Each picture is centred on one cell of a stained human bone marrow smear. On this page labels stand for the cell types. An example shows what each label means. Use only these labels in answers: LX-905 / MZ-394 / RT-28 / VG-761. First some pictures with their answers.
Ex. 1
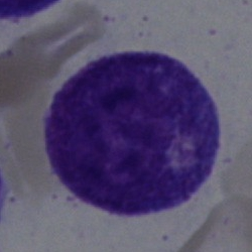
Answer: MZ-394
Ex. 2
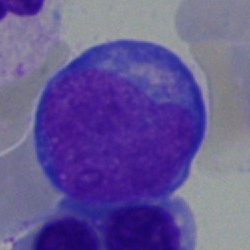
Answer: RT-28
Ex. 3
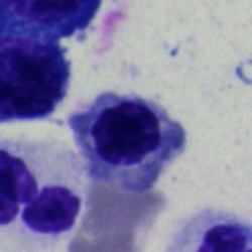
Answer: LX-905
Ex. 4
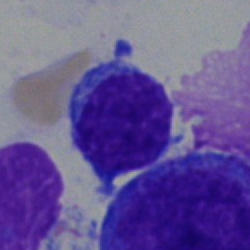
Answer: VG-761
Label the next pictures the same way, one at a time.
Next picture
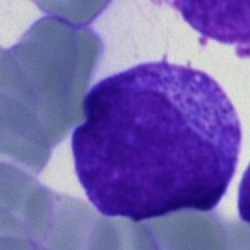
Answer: RT-28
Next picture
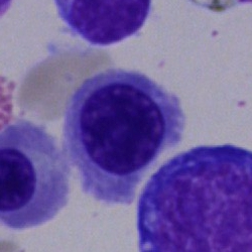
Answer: LX-905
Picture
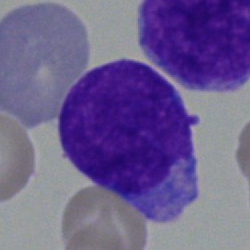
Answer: RT-28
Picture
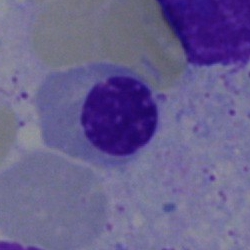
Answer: LX-905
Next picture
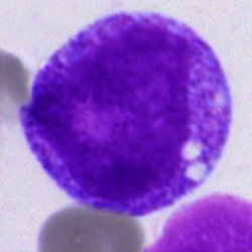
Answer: MZ-394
